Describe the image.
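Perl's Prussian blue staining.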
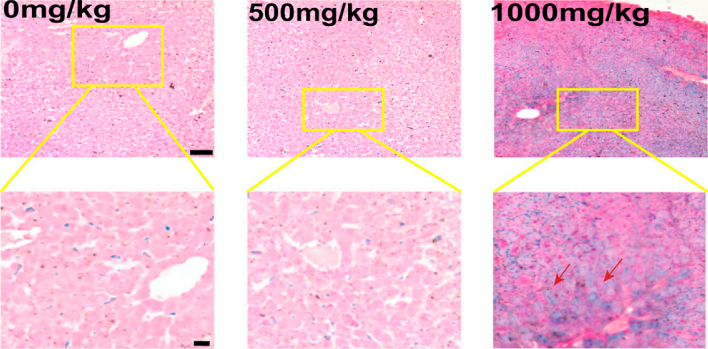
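These are sections of liver tissue, with the hepatocyte cytoplasm counterstained pink and vessel lumens appearing as pale, empty spaces. In the left and middle images the tissue is evenly pink, with only a few small, scattered blue specks among the cells. In the right images the picture is very different. Large areas of the tissue are washed with blue to blue-grey deposits, and the usual orderly pink parenchyma is patchy.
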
